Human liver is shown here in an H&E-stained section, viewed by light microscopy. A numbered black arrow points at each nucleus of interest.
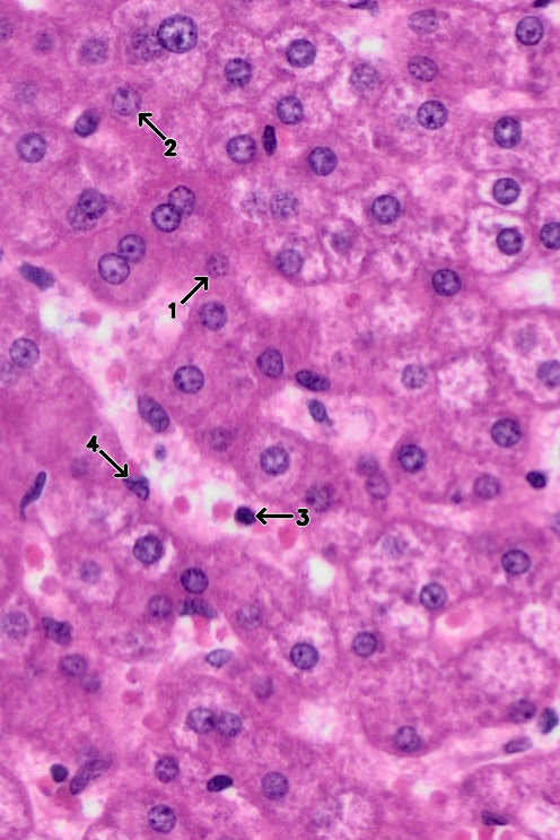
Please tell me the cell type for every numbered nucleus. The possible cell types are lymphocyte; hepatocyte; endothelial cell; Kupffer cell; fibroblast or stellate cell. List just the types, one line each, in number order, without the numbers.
hepatocyte
hepatocyte
lymphocyte
endothelial cell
